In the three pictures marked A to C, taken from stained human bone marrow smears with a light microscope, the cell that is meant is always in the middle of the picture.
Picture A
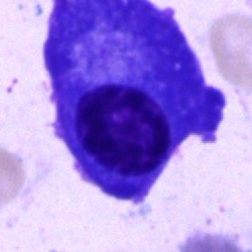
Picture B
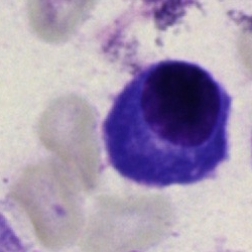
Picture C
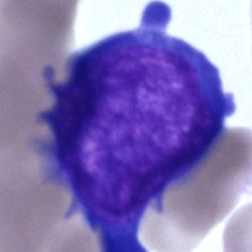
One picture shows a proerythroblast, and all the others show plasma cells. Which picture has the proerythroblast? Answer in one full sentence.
It is picture C that shows the proerythroblast.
